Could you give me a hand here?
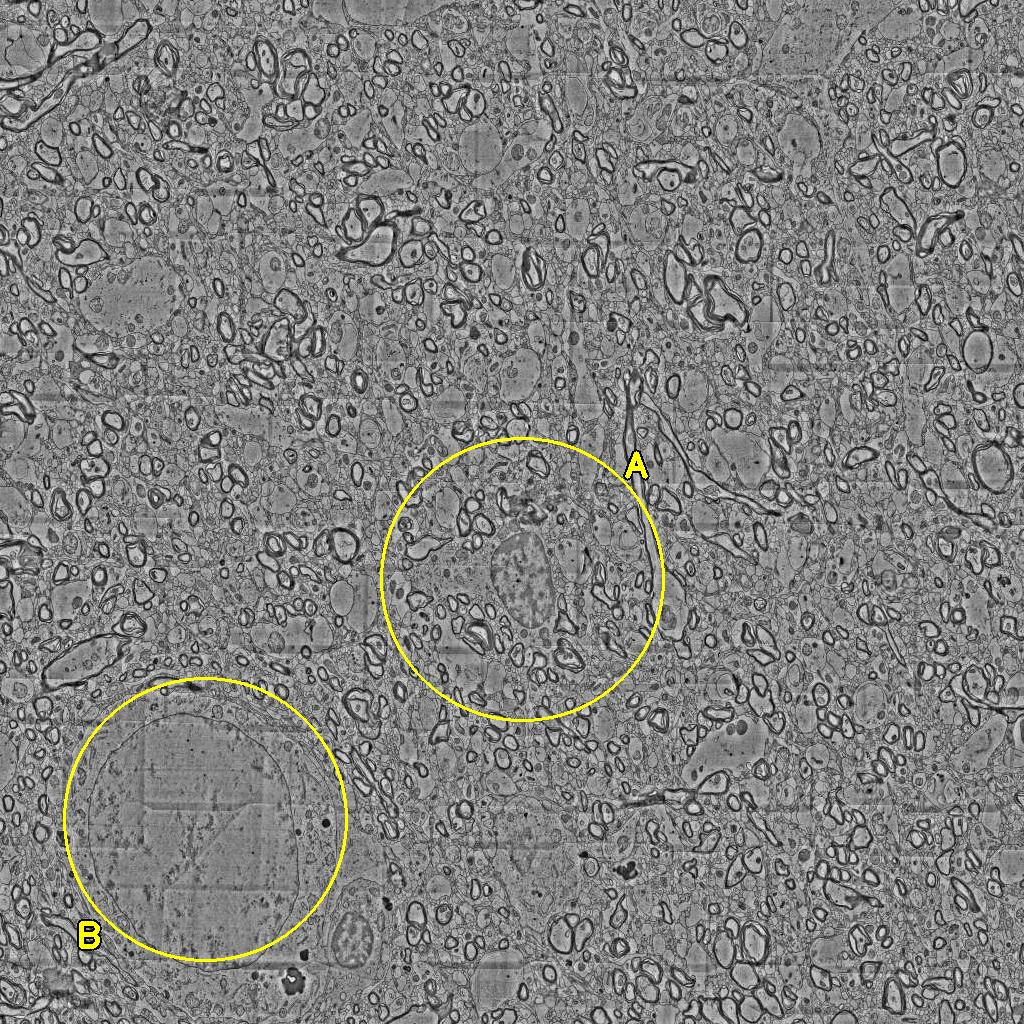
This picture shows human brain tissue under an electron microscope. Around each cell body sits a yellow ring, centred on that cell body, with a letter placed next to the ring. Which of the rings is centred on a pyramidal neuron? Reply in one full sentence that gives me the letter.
The cell asked for sits at the centre of ring B in the picture.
